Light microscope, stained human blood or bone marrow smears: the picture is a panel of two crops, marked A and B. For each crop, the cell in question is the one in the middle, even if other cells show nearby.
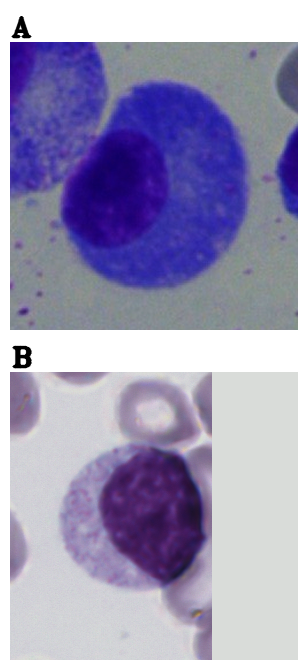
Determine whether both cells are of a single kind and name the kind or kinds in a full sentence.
No, the cell at the middle of crop A is a plasma cell, while crop B centres on a myelocyte.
